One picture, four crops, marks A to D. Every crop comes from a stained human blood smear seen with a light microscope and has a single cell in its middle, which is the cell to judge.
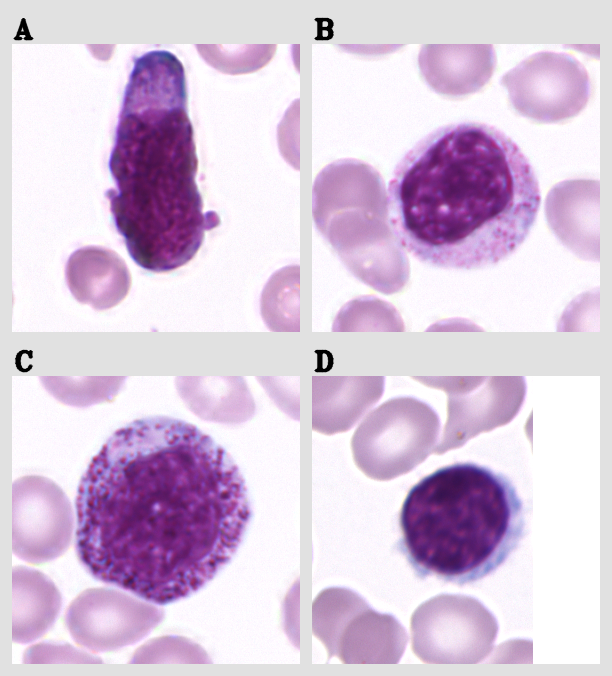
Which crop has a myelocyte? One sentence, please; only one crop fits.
The crop in which a myelocyte is shown is crop C.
